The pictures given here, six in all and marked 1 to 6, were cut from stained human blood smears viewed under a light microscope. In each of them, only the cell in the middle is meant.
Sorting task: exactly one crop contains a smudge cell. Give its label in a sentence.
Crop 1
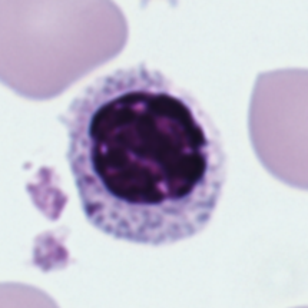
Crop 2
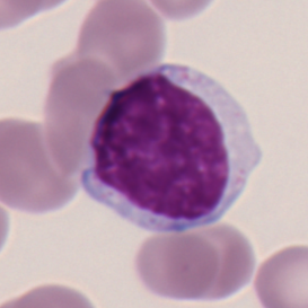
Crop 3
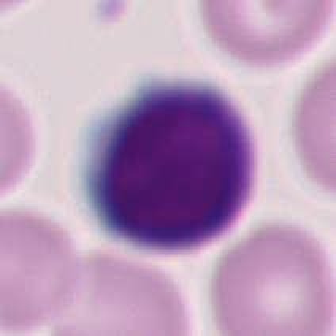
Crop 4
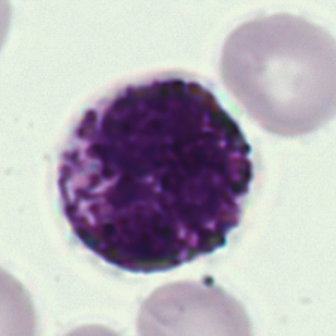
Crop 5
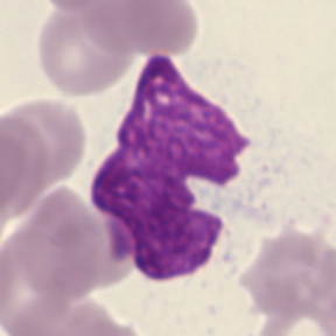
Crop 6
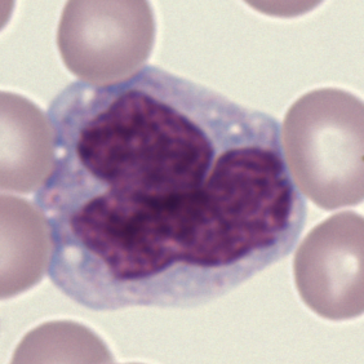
Among these crops, crop 5 holds a smudge cell.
